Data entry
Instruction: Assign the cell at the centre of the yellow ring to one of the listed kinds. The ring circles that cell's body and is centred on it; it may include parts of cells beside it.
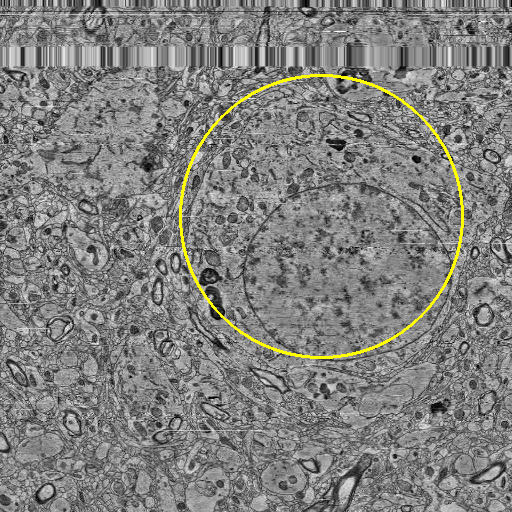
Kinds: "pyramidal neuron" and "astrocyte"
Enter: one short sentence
The centre of the ring falls on a pyramidal neuron.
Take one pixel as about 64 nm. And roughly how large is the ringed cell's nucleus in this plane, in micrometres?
Approximately 13 micrometres across, in this plane.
